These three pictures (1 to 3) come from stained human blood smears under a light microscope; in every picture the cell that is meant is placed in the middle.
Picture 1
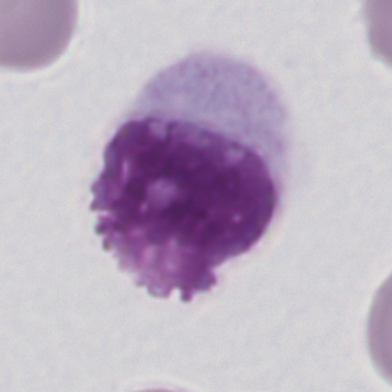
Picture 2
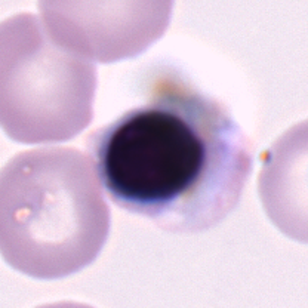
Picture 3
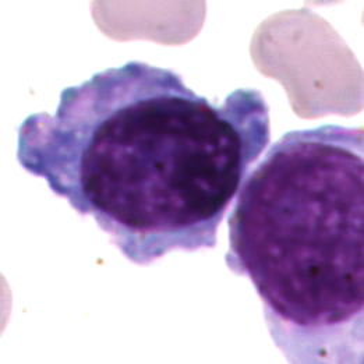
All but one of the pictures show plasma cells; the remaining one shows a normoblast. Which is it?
2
